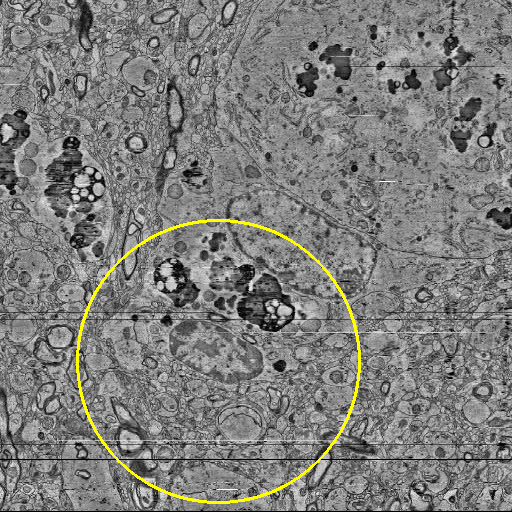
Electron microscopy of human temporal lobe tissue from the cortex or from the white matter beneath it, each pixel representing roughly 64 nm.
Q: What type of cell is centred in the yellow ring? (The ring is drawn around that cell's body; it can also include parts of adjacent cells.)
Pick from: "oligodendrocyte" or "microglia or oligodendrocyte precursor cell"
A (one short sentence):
The yellow ring is centred on a microglial cell or oligodendrocyte precursor cell.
